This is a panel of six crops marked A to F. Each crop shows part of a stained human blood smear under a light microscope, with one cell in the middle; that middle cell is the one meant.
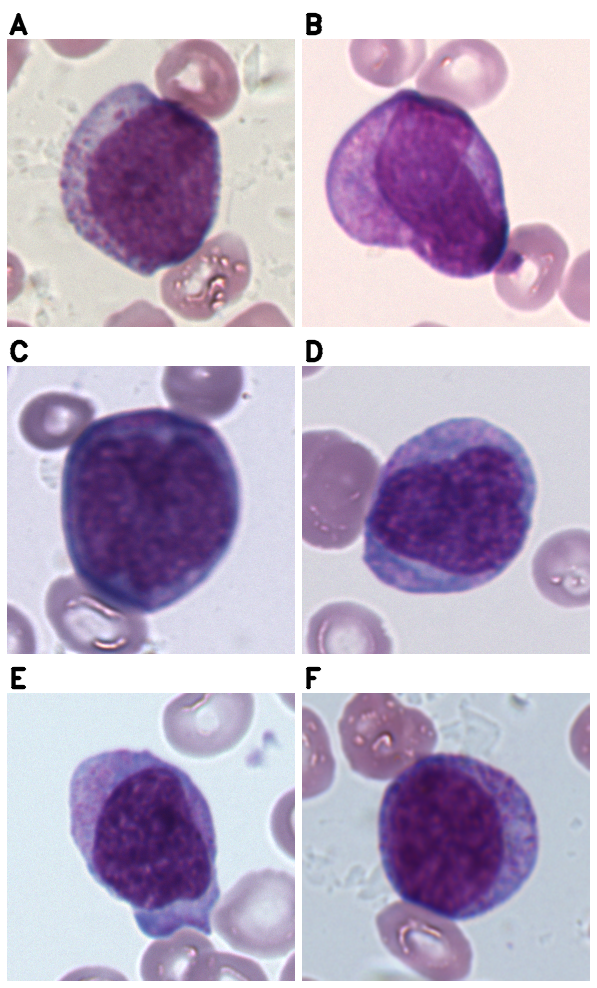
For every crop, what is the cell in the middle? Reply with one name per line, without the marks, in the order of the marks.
promyelocyte
atypical promyelocyte
promyelocyte
atypical promyelocyte
atypical promyelocyte
promyelocyte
